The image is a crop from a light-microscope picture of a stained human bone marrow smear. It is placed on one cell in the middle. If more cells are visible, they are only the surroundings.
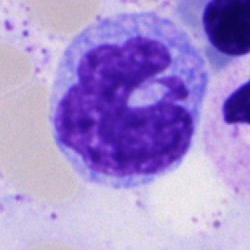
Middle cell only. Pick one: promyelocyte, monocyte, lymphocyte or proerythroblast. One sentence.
The central cell shown in this smear crop is a monocyte.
